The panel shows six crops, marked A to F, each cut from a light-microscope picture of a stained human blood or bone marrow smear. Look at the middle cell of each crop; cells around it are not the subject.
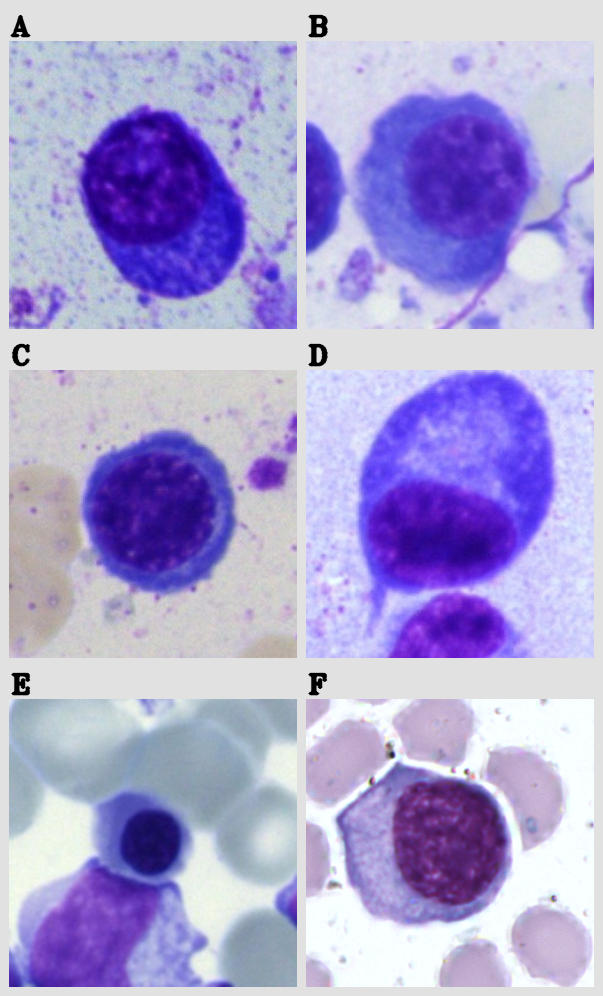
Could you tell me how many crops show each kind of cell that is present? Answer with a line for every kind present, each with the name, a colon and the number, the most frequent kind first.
plasma cell: 4
erythroblast: 2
